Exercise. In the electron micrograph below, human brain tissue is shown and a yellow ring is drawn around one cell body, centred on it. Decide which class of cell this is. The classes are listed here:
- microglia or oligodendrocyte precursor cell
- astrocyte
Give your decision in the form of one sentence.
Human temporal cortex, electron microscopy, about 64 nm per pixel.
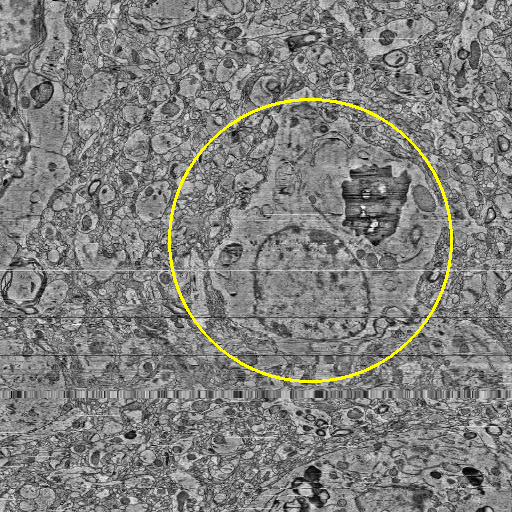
The cell body marked by the ring belongs to an astrocyte.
